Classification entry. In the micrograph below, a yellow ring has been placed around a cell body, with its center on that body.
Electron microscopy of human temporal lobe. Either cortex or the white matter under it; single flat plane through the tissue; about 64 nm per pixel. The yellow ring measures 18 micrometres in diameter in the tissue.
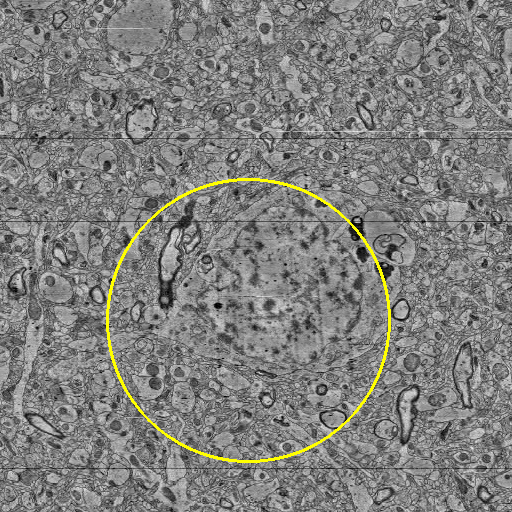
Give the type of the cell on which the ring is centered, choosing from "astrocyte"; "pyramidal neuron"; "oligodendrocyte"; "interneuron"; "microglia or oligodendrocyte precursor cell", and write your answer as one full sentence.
The cell body at the center of the yellow ring belongs to an interneuron.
